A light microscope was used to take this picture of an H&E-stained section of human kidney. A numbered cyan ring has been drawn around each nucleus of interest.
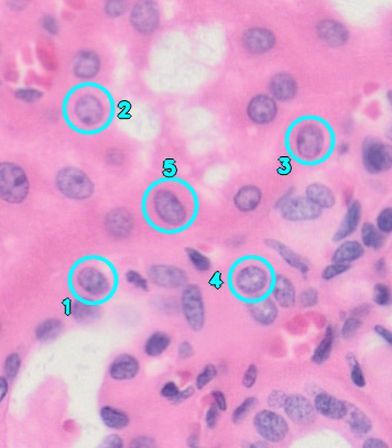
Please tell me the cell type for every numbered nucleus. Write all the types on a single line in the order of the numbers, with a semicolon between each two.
collecting duct cell; proximal tubule cell; proximal tubule cell; collecting duct cell; proximal tubule cell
